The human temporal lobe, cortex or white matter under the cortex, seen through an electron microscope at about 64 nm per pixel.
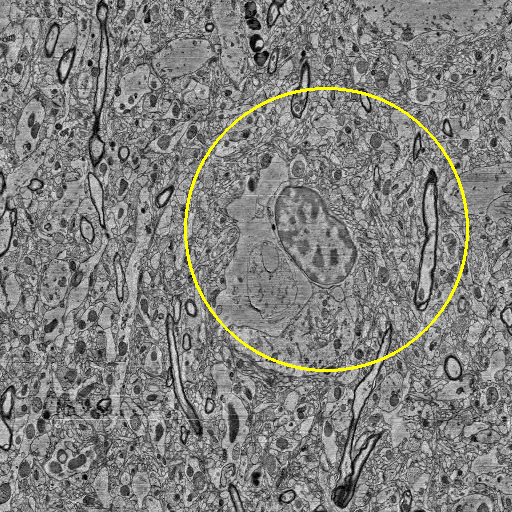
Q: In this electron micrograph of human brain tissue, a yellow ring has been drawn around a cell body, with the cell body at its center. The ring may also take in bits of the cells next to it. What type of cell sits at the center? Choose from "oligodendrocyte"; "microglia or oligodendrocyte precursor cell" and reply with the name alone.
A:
microglia or oligodendrocyte precursor cell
